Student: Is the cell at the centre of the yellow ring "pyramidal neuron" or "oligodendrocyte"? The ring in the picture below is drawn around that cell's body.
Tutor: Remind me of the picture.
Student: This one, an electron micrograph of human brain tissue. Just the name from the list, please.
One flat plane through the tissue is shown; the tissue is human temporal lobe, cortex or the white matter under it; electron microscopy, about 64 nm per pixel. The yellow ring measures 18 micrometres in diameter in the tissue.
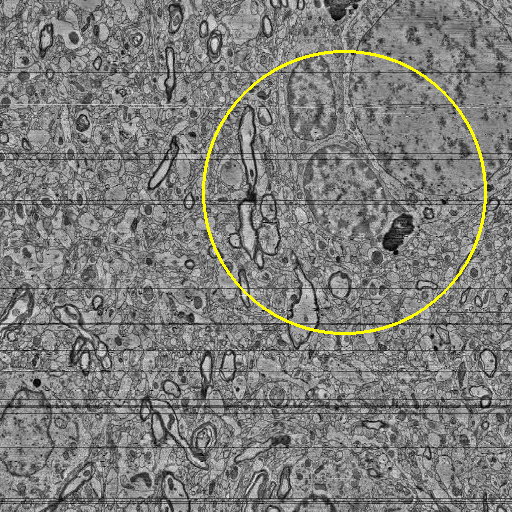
oligodendrocyte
